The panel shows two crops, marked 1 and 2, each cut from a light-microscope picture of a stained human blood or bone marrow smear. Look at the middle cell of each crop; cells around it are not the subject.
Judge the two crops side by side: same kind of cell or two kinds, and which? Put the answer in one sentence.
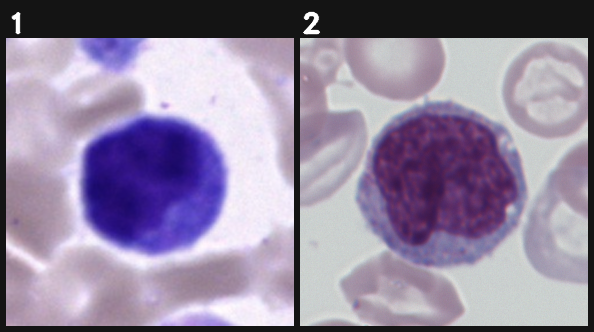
Yes, it is monocytes that sit at the centre of both crops.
